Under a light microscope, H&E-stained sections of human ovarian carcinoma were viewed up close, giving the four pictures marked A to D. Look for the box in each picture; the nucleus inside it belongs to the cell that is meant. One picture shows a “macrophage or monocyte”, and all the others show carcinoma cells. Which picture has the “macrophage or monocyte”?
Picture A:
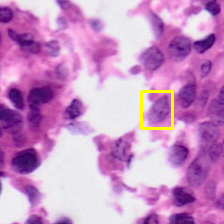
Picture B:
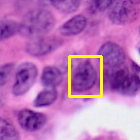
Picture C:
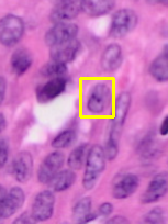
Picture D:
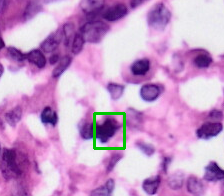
C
